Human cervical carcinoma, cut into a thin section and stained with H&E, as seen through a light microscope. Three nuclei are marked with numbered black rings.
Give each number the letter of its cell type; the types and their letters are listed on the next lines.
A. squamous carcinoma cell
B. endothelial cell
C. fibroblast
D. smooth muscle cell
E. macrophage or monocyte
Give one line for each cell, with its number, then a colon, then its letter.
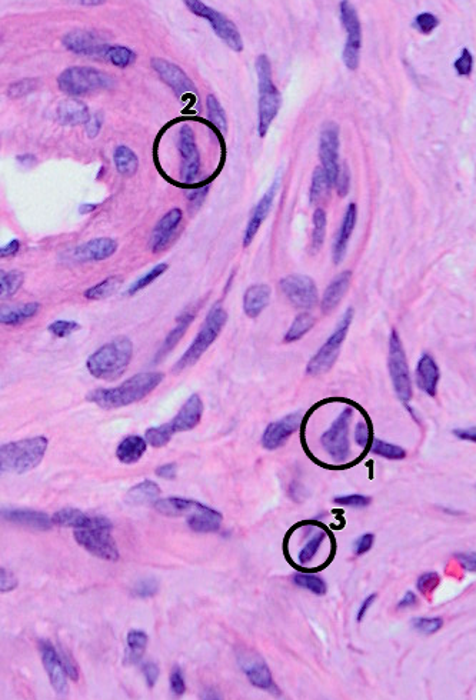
1: C
2: D
3: C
